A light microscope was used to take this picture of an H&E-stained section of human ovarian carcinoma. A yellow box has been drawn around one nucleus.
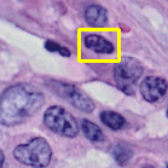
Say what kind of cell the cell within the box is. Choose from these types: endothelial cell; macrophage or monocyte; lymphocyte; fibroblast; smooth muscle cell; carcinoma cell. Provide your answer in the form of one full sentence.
It is a lymphocyte that the cell within the box represents.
